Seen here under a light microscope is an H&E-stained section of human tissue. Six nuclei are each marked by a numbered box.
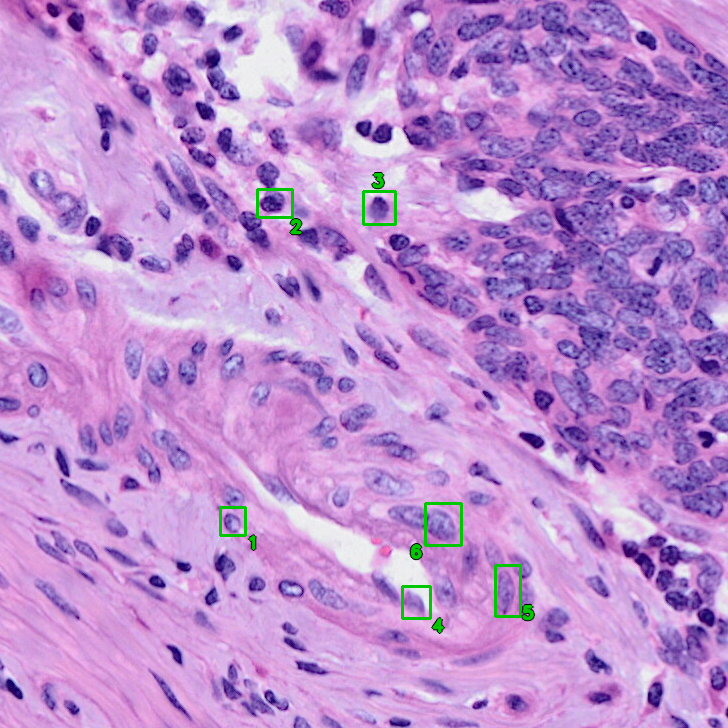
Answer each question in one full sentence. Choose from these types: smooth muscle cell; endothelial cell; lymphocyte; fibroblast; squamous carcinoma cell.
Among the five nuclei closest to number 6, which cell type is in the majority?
The majority of the five nuclei closest to number 6 belong to smooth muscle cells.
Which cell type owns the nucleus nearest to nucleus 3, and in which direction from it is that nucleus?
It is a lymphocyte, whose nucleus lies below and to the right of nucleus 3.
